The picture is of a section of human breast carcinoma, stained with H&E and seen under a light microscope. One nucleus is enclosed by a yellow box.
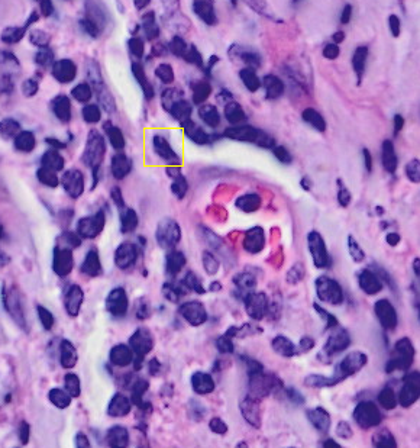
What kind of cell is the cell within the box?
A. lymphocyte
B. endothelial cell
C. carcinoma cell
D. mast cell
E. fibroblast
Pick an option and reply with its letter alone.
A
